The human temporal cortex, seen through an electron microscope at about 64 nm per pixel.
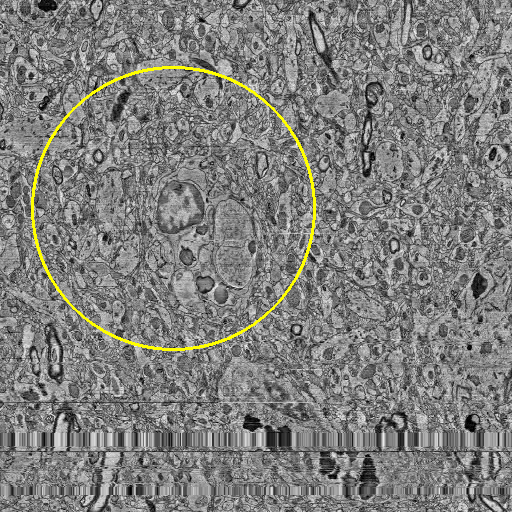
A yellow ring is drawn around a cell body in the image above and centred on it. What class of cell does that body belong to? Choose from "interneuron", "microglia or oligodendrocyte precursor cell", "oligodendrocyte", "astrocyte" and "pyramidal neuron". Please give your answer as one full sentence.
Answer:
The yellow ring above is centred on the cell body of a microglial cell or oligodendrocyte precursor cell.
